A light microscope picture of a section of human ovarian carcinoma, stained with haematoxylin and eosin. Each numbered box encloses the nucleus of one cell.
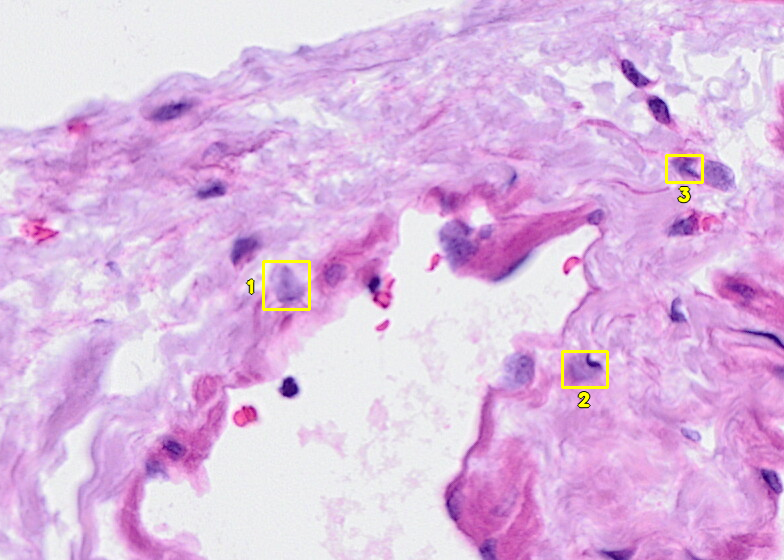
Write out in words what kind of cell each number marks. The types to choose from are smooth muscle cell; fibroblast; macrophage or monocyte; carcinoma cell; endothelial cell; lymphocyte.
Cells 1 and 2 are fibroblasts. Cell 3 is an endothelial cell.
